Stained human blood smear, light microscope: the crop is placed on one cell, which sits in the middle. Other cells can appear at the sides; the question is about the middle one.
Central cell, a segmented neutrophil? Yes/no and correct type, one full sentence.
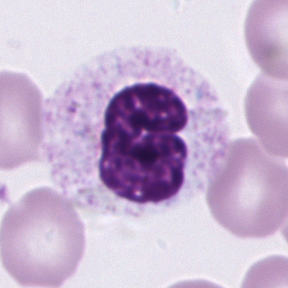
Yes, the cell at the very centre of the crop is a segmented neutrophil.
